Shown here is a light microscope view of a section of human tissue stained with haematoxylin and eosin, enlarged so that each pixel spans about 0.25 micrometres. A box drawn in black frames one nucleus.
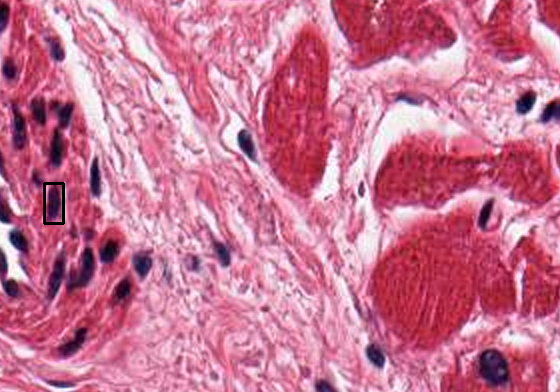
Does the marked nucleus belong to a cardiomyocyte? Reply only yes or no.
no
